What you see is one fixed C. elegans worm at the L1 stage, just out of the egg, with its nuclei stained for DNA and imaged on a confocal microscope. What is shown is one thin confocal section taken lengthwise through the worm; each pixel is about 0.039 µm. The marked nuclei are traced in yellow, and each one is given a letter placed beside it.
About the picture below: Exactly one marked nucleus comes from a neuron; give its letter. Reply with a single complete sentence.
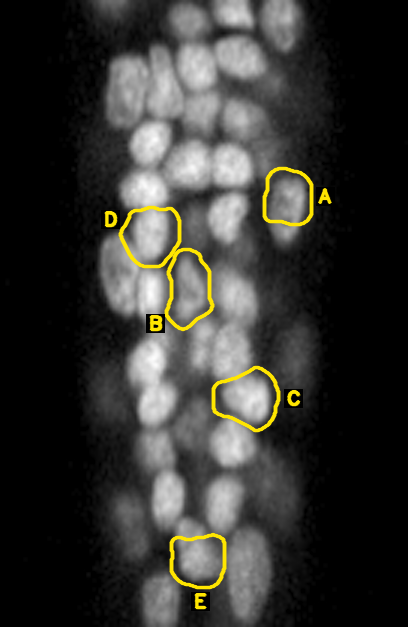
D is the one that belongs to a neuron.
